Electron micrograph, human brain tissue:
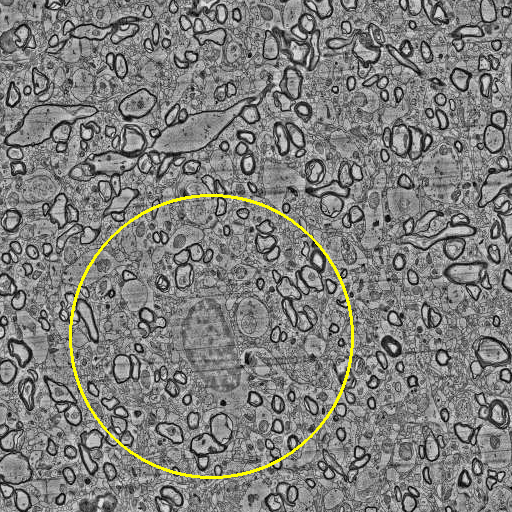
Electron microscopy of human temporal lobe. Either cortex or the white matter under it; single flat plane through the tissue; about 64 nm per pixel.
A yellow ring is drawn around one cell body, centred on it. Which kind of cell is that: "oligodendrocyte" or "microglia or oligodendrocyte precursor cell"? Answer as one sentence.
It is an oligodendrocyte at the centre of the ring.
